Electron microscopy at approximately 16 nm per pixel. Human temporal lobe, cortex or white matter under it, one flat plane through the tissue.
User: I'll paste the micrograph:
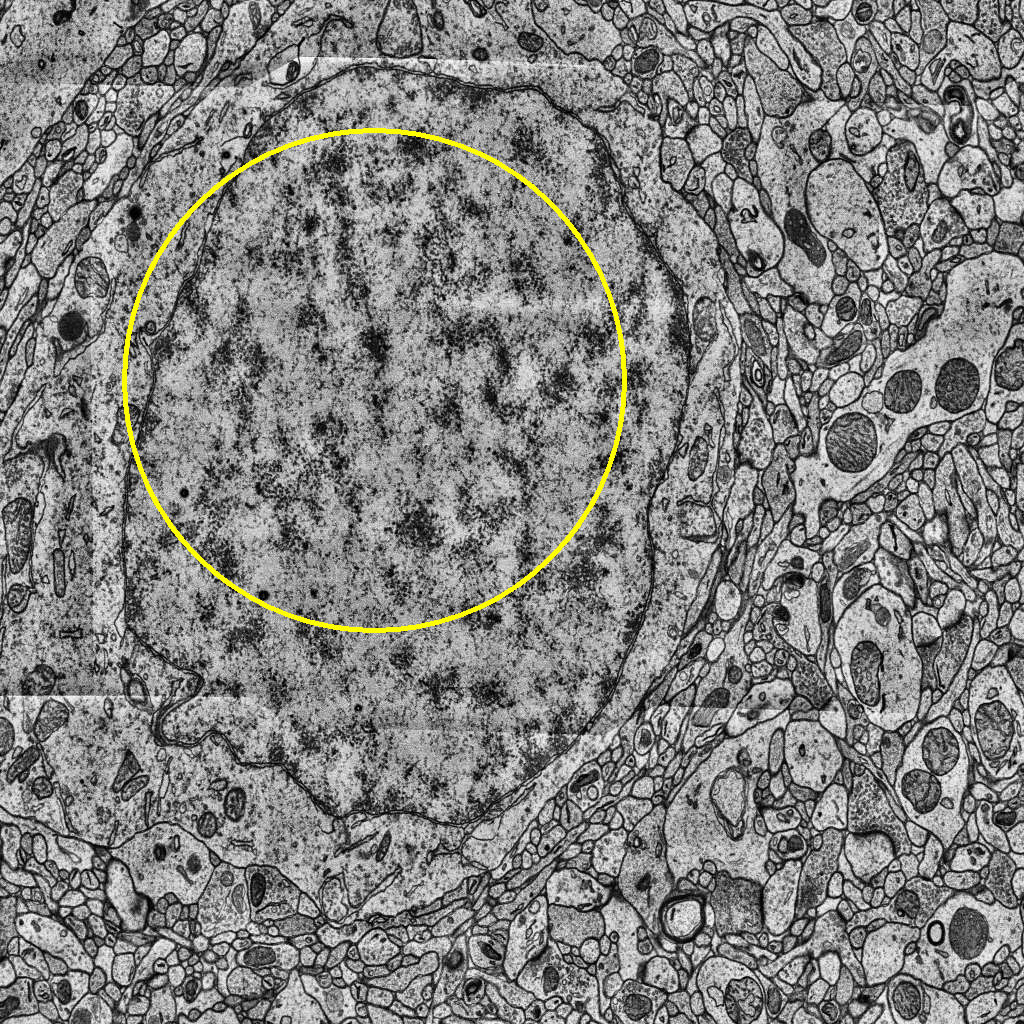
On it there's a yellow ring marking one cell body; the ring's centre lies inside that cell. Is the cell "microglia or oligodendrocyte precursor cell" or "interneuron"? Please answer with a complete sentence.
The cell at the centre of the yellow ring is an interneuron.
